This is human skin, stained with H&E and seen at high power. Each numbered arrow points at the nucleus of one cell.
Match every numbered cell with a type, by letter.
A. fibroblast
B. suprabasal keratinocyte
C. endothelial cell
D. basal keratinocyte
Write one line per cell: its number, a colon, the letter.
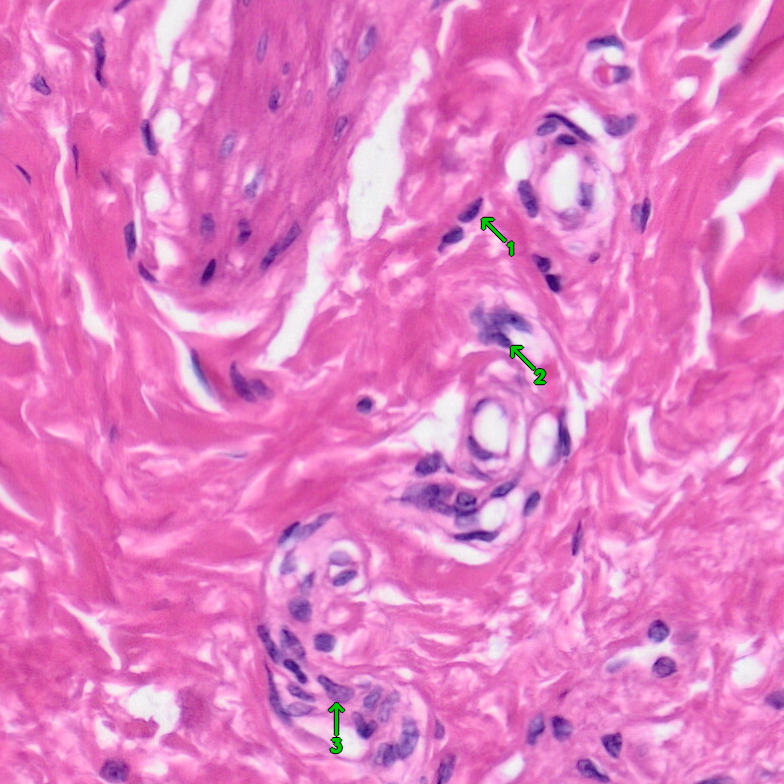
1: A
2: C
3: C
